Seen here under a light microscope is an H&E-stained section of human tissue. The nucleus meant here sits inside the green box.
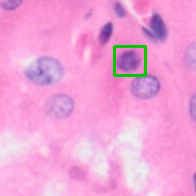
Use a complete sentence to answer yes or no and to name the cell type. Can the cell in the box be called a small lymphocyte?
No, the cell in the box isn't a small lymphocyte; it is a proximal tubule cell.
